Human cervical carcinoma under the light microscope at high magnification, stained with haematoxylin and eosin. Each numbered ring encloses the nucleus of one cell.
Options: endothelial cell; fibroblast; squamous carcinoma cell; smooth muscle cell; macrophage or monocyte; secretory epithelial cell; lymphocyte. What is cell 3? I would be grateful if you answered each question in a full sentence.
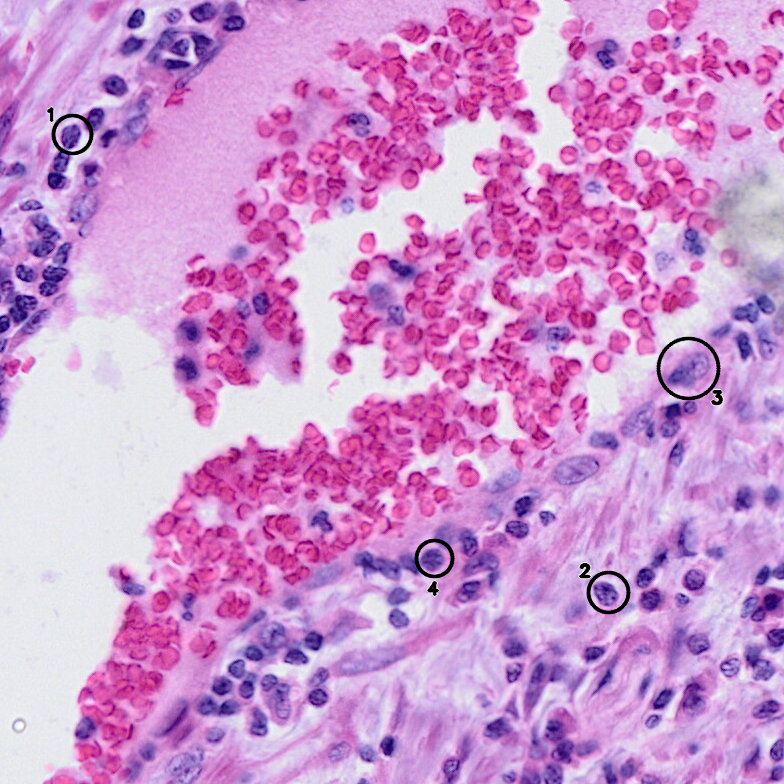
The one labeled 3 is an endothelial cell, to put it simply.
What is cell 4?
The cell numbered 4 has been identified as a lymphocyte.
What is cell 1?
The marked cell bearing number 1 is a lymphocyte.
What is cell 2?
Among the marked cells, number 2 is a lymphocyte.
